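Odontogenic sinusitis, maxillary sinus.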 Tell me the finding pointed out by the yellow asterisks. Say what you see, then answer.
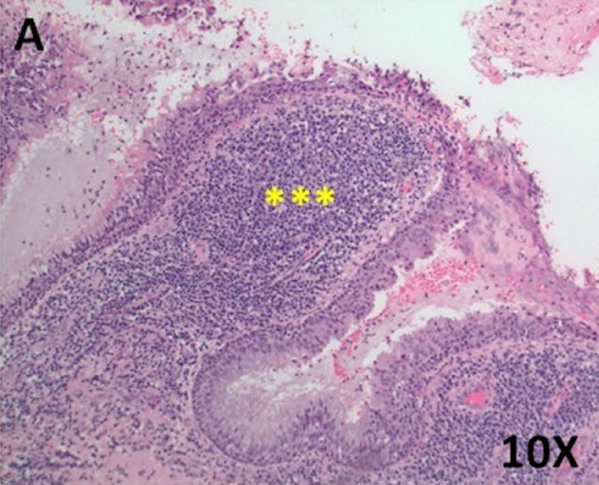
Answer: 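The area under the asterisks is packed with small, round, dark-purple nuclei. The packed cells lie beneath a lining epithelium.
Dense subepithelial lymphocytic infiltration.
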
